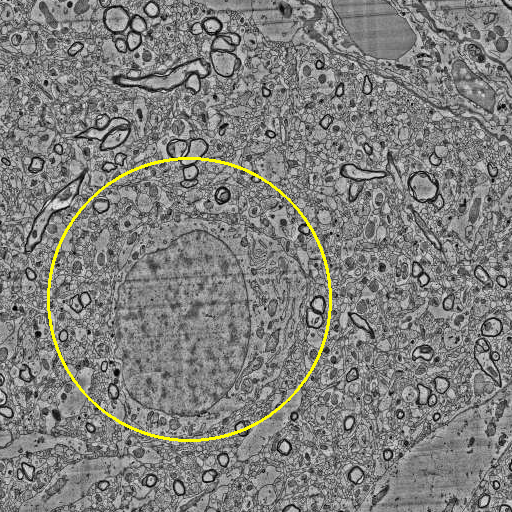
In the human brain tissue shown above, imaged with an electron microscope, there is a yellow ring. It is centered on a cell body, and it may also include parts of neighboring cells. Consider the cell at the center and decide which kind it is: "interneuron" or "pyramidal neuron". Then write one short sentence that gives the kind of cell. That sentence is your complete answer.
This centered cell body is that of an interneuron.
